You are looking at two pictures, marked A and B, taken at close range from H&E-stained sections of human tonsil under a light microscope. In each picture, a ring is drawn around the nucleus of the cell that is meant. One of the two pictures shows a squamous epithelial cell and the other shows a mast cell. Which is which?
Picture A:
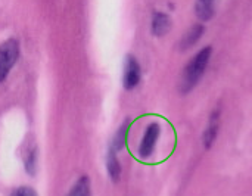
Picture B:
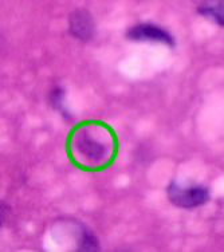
A: mast cell
B: squamous epithelial cell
